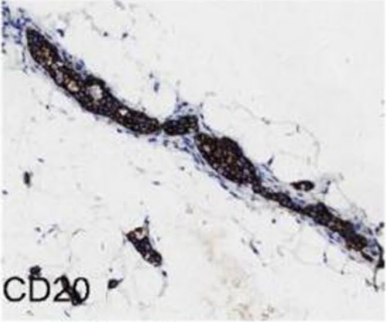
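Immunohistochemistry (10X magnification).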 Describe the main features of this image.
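Fatty tissue of large clear empty vacuoles is crossed by a long, beaded, tube-like channel and a few small side channels. These channels are packed tight with cells stained dark brown, while a thin rim of blue nuclei lines their outer edge. The brown cells stay within the channels and scarcely spill into the fat around them.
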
